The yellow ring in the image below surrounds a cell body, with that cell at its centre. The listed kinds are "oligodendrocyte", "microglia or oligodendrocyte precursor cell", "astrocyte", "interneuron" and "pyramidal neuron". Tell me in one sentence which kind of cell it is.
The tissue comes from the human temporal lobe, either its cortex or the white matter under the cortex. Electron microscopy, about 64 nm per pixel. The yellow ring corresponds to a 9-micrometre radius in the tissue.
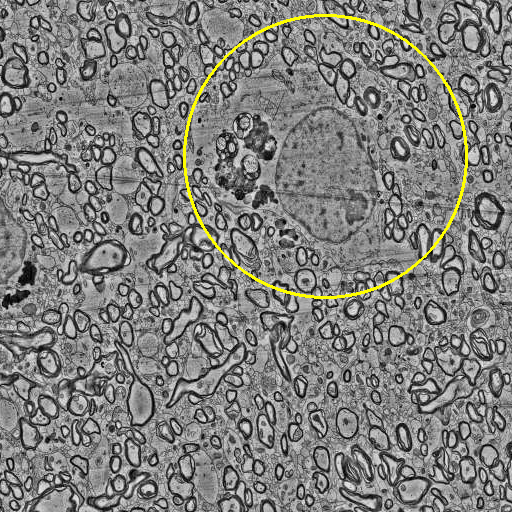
The centre of the ring holds an astrocyte.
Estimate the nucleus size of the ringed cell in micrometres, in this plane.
The nucleus has a long axis of about 9 micrometres and a short axis of about 7 micrometres in this plane.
